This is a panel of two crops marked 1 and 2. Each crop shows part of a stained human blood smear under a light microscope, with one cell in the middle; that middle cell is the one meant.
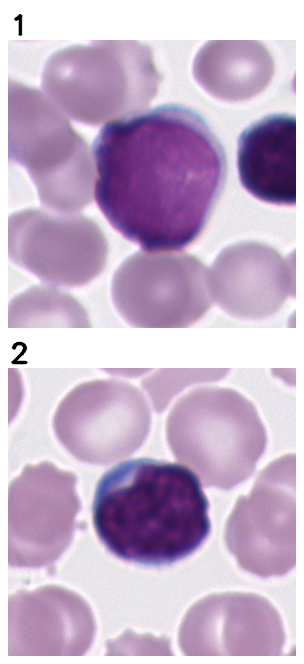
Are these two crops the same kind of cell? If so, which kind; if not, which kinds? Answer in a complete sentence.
Yes, what both crops show at their centres are typical lymphocytes.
